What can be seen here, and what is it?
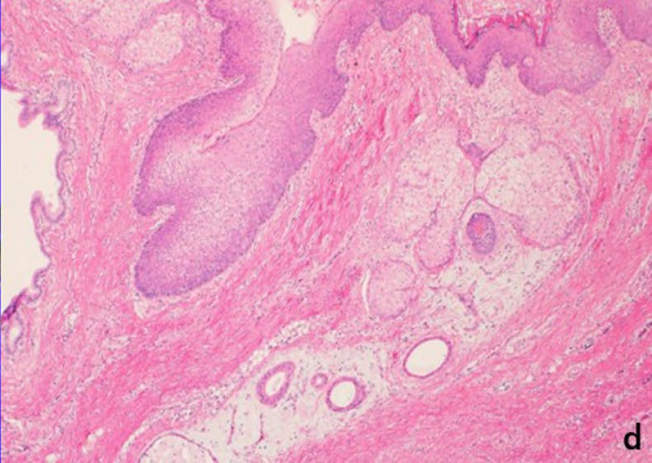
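This is skin with its appendages, seen at low power. Along the top lies a purple stratified squamous epithelium that sends broad tongue-like downgrowths into the underlying tissue. Beneath it sit pale lobules made of cells with foamy, vacuolated cytoplasm, resembling sebaceous glands. Deeper in the pink fibrous stroma there are small round ducts and glandular profiles lined by cuboidal cells.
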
